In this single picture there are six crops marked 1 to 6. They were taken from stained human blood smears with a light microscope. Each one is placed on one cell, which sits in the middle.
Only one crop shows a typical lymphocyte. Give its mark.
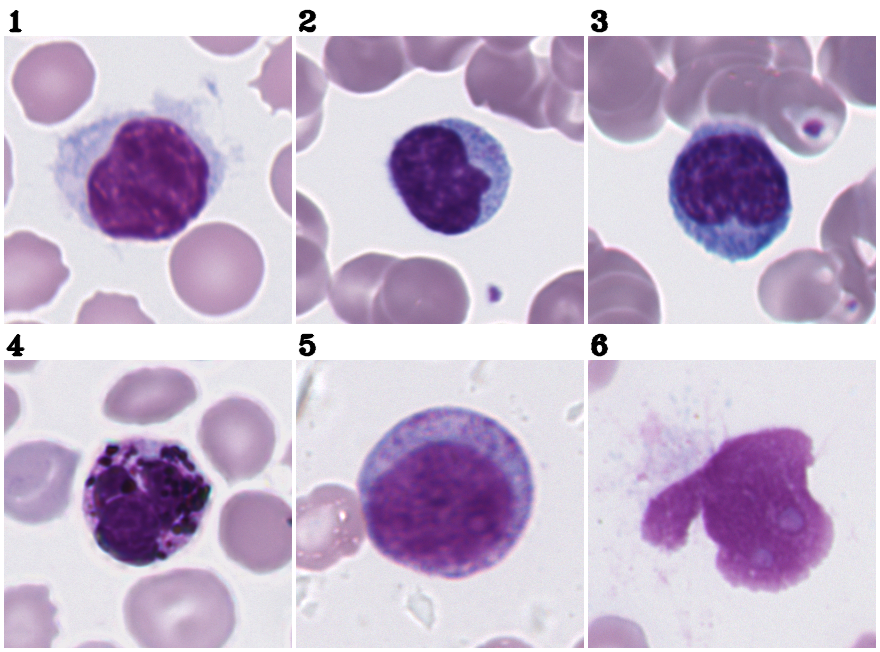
2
